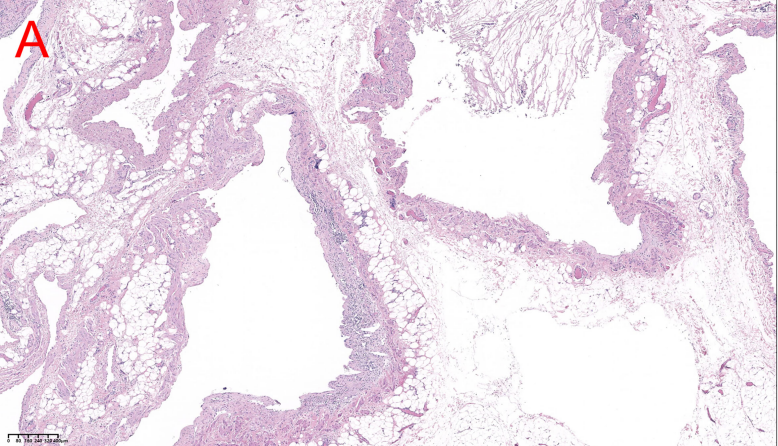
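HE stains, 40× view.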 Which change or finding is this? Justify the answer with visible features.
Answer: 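Many large, thin-walled, empty cystic spaces. Loose pale stroma with fat lies between the spaces. Small bluish aggregates of lymphoid cells lie in the cyst walls. The answer: lymphangioma.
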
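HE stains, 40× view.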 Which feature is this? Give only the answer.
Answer: Dilated lymphatic spaces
